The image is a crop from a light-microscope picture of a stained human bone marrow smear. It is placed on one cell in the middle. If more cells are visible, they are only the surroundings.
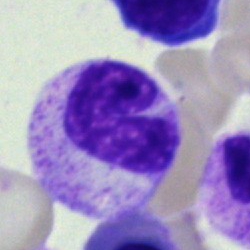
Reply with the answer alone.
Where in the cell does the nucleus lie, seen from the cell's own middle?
upper right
